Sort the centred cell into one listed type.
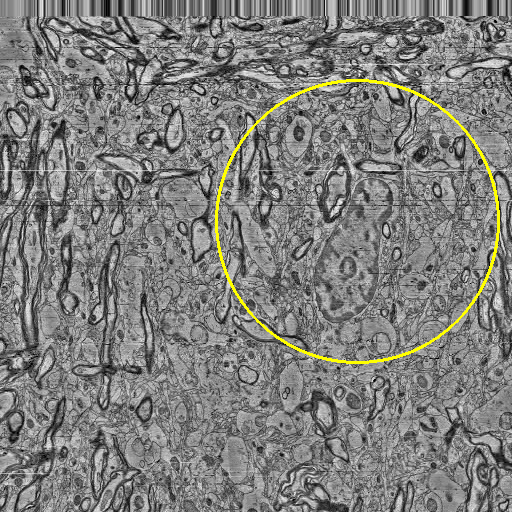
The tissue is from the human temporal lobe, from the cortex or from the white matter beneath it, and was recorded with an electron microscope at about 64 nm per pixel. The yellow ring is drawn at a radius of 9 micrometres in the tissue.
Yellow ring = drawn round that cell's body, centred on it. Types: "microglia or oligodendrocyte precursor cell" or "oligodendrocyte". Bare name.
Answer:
microglia or oligodendrocyte precursor cell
